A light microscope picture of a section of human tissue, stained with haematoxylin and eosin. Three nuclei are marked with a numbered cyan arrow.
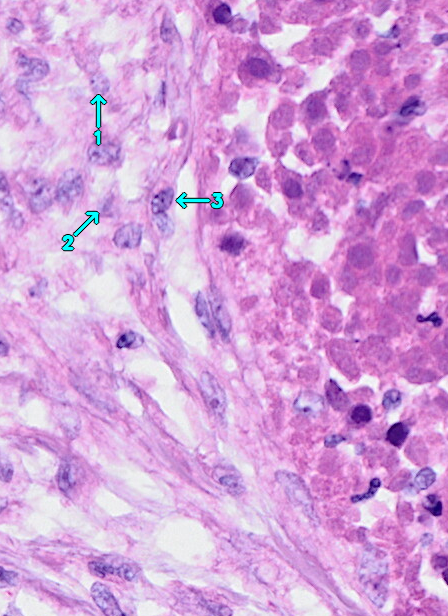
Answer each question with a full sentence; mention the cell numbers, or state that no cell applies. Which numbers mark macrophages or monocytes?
Cell 3 is a macrophage or monocyte and is the only numbered cell of that kind.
